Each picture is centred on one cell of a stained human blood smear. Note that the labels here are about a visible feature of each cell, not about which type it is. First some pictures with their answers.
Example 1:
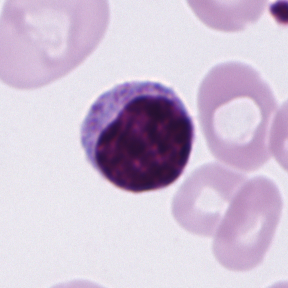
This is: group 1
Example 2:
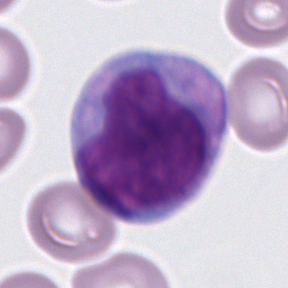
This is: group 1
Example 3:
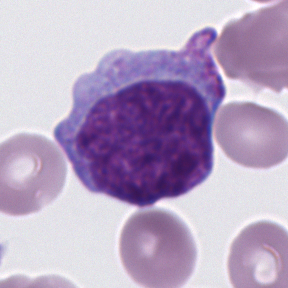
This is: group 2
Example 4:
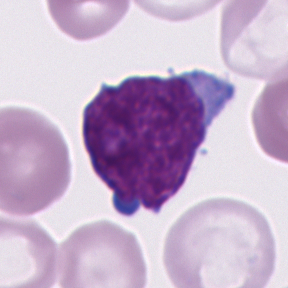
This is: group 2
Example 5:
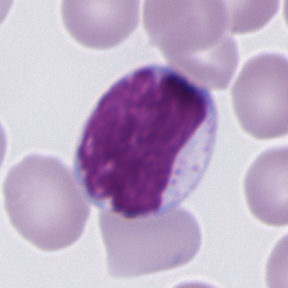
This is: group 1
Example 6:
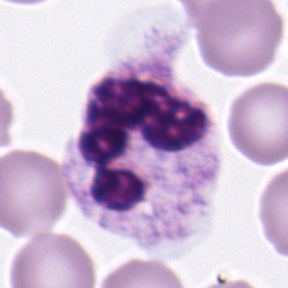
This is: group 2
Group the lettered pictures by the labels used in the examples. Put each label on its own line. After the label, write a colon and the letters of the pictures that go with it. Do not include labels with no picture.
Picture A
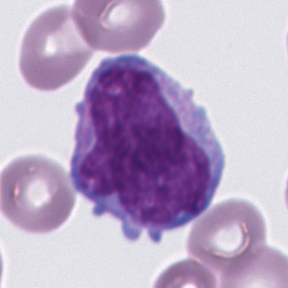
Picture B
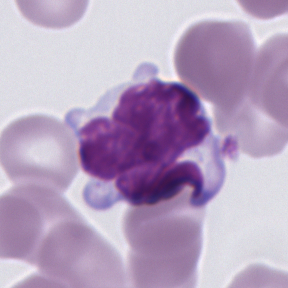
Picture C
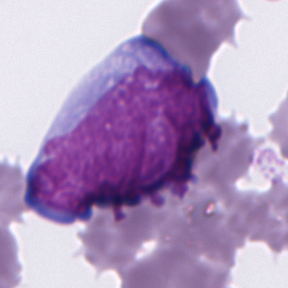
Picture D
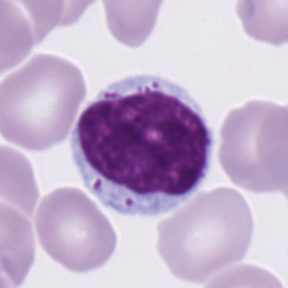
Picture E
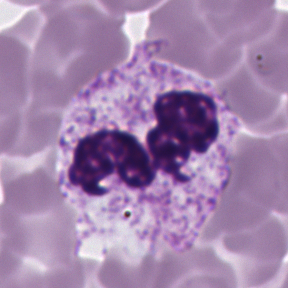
group 1: D
group 2: A, B, C, E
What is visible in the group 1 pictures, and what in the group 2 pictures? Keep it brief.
In group 1: smooth outline. In group 2: ragged outline or projections.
